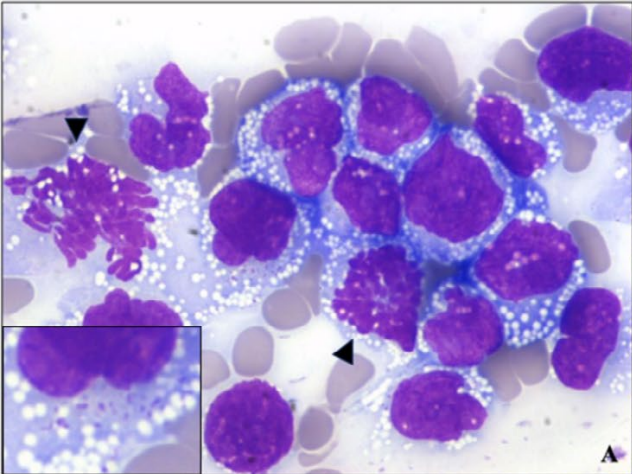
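A tight cluster of large round cells lies among red blood cells, each with a large round to indented purple nucleus with finely stippled chromatin and a rim of blue cytoplasm crowded with small clear vacuoles. One cell at the left shows separated rod-like chromosomes of a mitotic figure.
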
